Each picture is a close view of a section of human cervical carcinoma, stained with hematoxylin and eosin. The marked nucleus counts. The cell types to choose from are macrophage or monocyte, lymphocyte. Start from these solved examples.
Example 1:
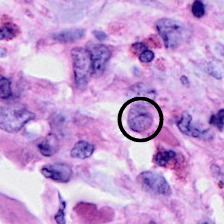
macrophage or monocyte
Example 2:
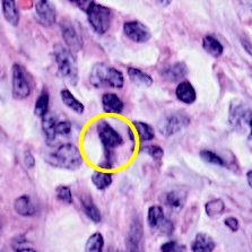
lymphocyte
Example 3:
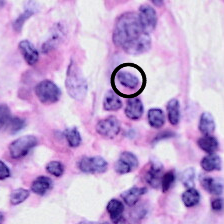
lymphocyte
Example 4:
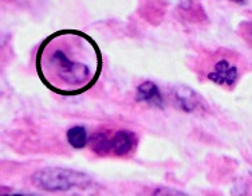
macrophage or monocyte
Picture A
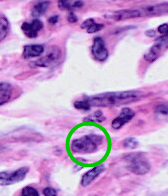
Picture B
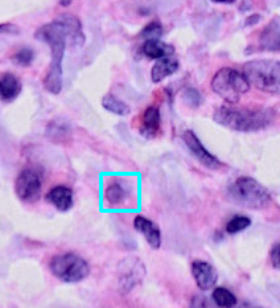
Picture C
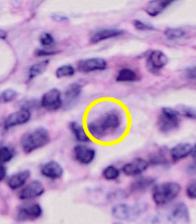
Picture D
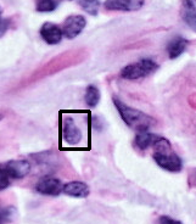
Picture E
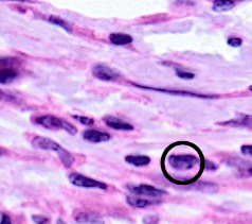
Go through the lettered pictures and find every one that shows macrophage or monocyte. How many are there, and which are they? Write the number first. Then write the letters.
Count: 2 (A, B)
